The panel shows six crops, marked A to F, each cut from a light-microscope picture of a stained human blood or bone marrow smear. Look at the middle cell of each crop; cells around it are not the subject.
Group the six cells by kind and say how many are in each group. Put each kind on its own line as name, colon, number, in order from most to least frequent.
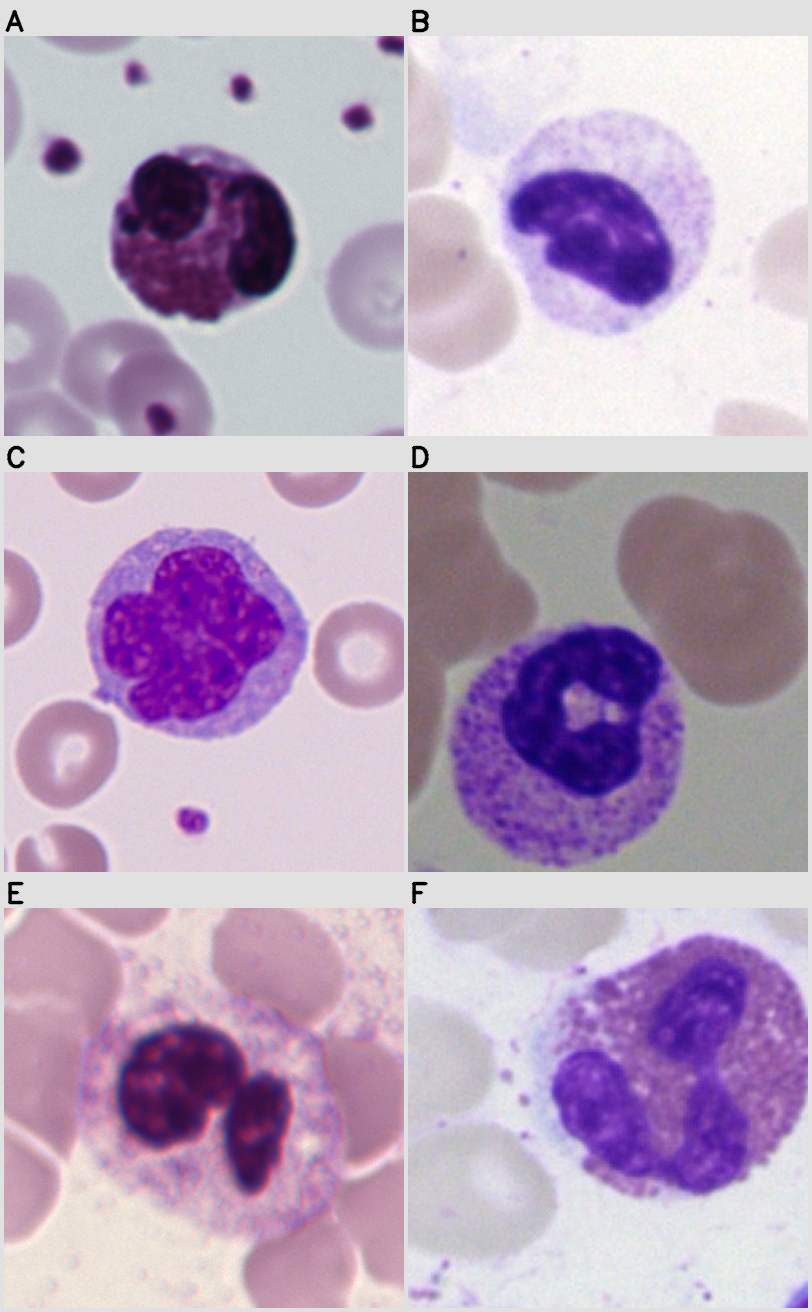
neutrophil: 3
eosinophil: 2
monocyte: 1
